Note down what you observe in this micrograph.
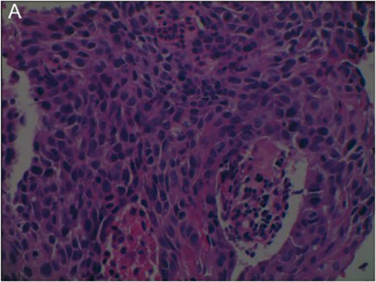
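Here we are looking at a tumor made of densely packed cells lying in solid sheets with very little stroma between them. The nuclei are large, dark purple, oval to elongated, and vary in size and shape from cell to cell, crowding one another so that the pink cytoplasm is scant. The overall picture is of a cellular, disorderly growth with a high ratio of nucleus to cytoplasm.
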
